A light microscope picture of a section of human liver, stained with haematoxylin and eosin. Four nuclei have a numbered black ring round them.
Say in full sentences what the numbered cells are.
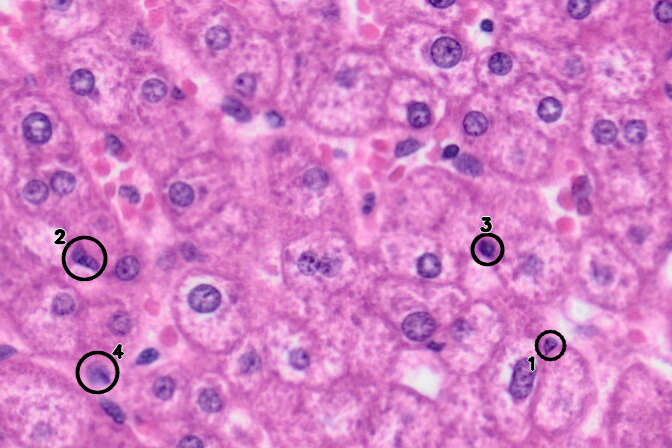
Cell 1 is a fibroblast or stellate cell, cell 2 is a fibroblast or stellate cell, cell 3 is a fibroblast or stellate cell and cell 4 is an endothelial cell.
